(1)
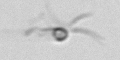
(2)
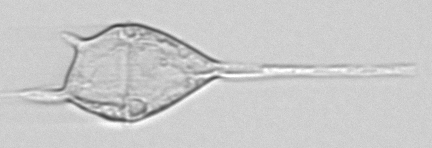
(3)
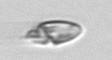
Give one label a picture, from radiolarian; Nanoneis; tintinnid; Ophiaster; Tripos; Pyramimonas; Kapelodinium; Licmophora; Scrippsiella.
(1) Ophiaster
(2) Tripos
(3) Kapelodinium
